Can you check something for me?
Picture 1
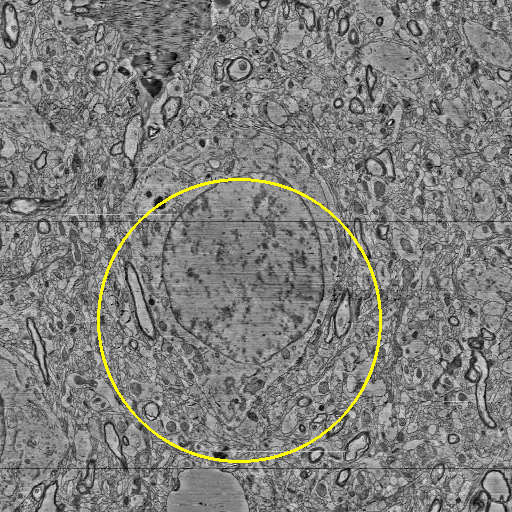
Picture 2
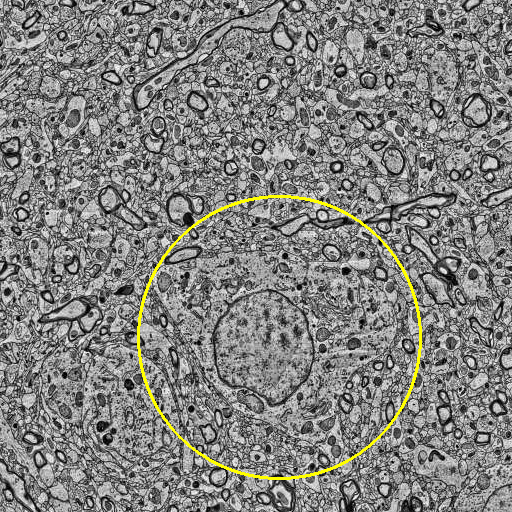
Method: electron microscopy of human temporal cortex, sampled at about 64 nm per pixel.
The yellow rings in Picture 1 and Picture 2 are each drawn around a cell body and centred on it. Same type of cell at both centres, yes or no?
yes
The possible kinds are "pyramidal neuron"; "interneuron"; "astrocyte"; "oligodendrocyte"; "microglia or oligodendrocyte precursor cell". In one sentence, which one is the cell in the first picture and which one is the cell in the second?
Both pictures show a pyramidal neuron at the centre of the ring.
